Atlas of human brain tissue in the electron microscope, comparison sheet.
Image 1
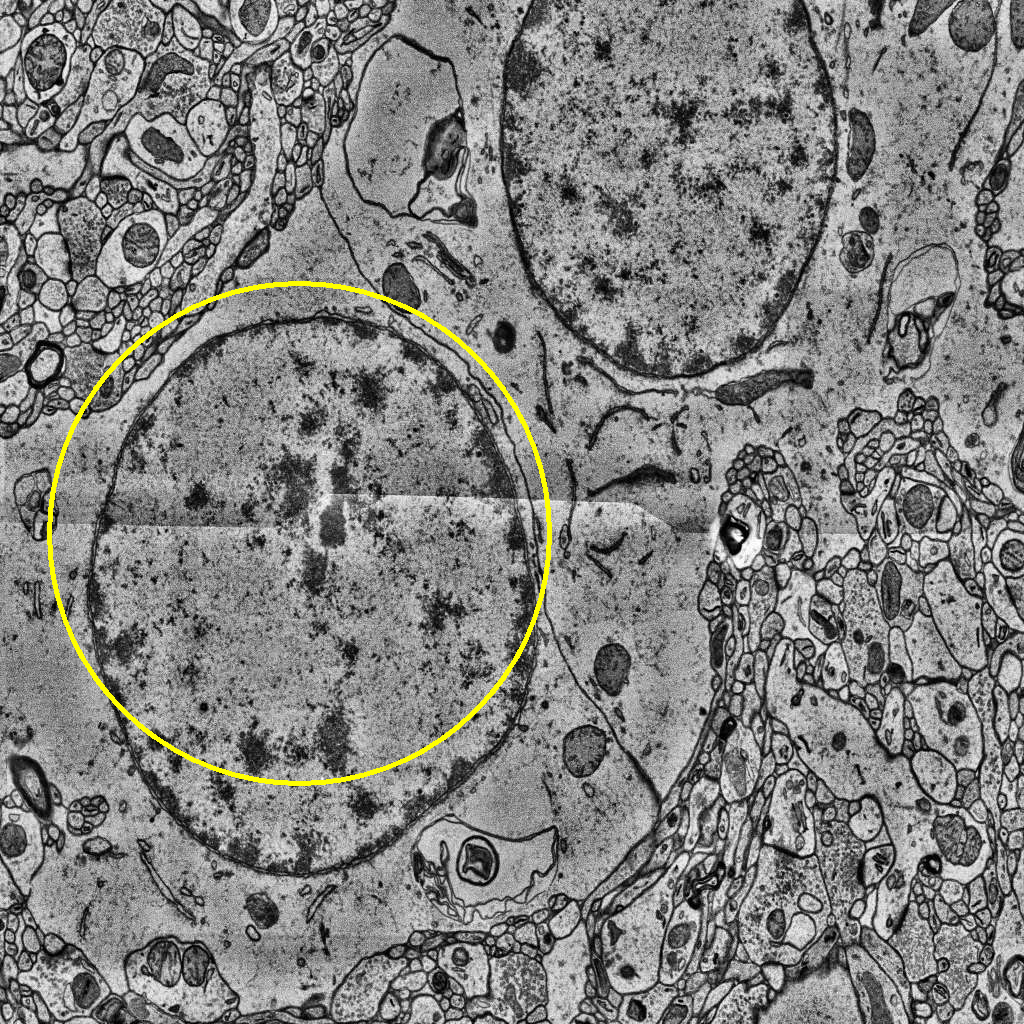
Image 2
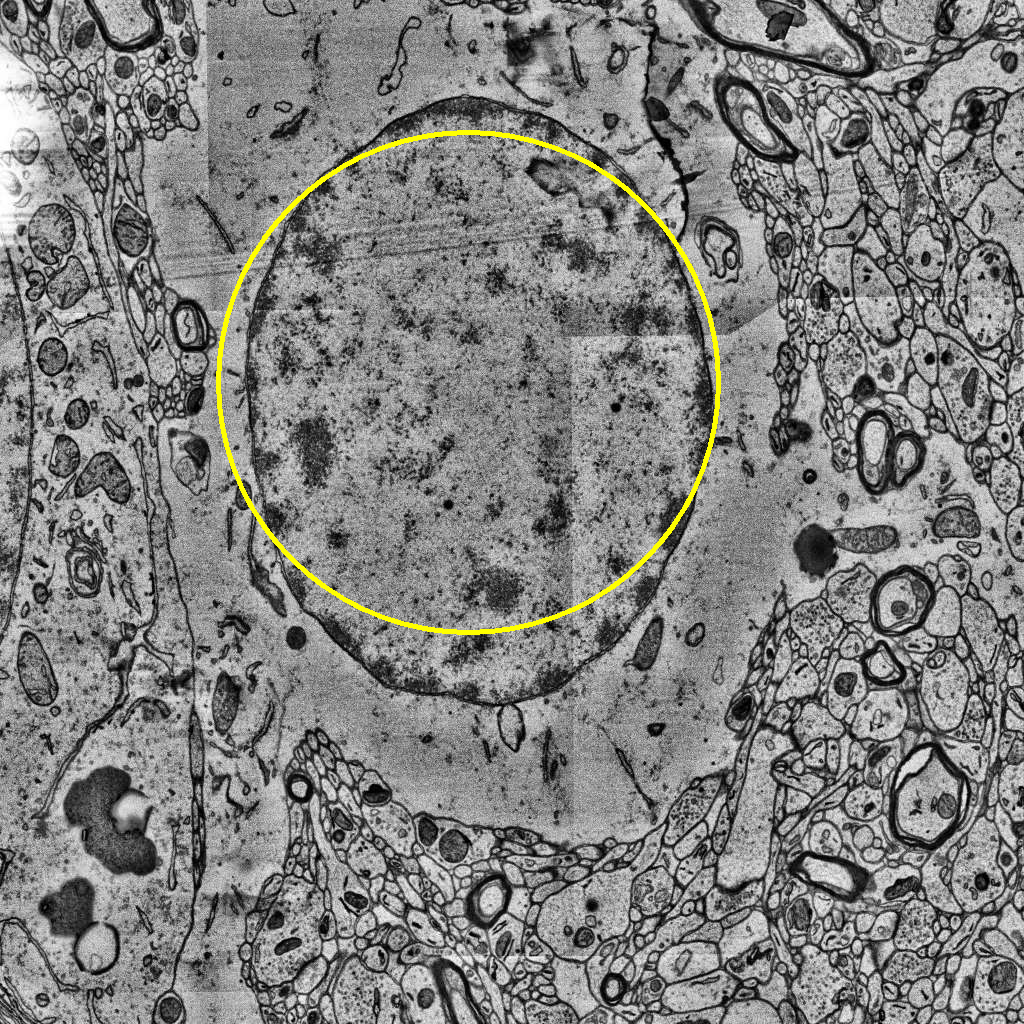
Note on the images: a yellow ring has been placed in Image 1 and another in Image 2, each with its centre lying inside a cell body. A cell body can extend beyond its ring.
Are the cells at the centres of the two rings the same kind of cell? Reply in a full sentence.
Yes, both cells are of the same kind.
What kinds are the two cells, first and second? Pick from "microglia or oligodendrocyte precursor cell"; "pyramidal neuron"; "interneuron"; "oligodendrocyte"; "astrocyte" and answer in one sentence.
The ring centre holds an astrocyte in each of the two pictures.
